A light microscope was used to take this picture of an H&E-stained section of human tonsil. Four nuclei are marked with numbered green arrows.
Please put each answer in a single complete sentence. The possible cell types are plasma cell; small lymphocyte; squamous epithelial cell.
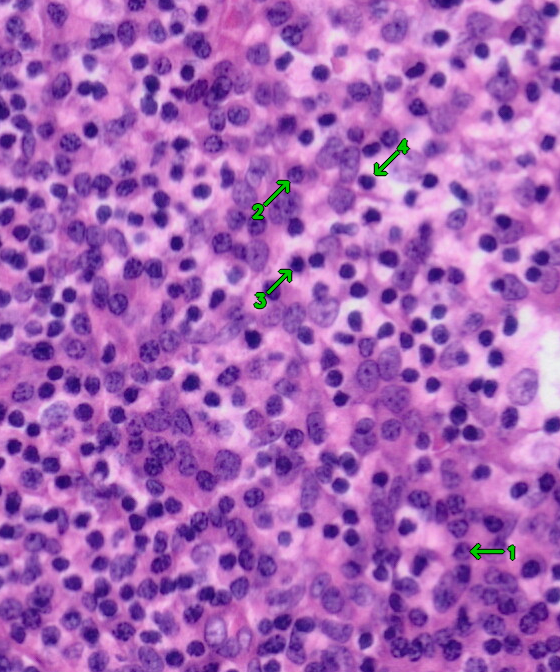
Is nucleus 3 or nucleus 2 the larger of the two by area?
Number 2 is larger; its area is about 1.5 times that of number 3.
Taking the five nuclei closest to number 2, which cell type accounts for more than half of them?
Squamous epithelial cells account for more than half of the five nuclei nearest to number 2.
